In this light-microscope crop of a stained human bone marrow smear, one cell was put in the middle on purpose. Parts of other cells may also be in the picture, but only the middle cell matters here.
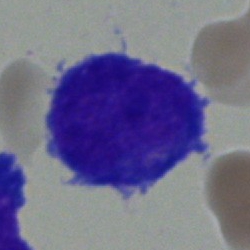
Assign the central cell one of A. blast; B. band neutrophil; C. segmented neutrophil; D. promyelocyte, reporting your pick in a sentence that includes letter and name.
The cell in the middle is a blast, so option A is correct.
